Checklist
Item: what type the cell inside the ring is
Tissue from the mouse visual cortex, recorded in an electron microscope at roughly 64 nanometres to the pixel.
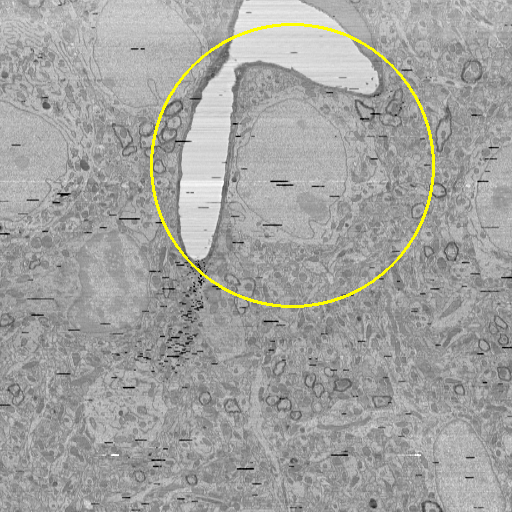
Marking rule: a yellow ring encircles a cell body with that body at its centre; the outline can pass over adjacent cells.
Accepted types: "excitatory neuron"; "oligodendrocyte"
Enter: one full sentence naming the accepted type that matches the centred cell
The entry is that an excitatory neuron lies at the centre of the yellow ring.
